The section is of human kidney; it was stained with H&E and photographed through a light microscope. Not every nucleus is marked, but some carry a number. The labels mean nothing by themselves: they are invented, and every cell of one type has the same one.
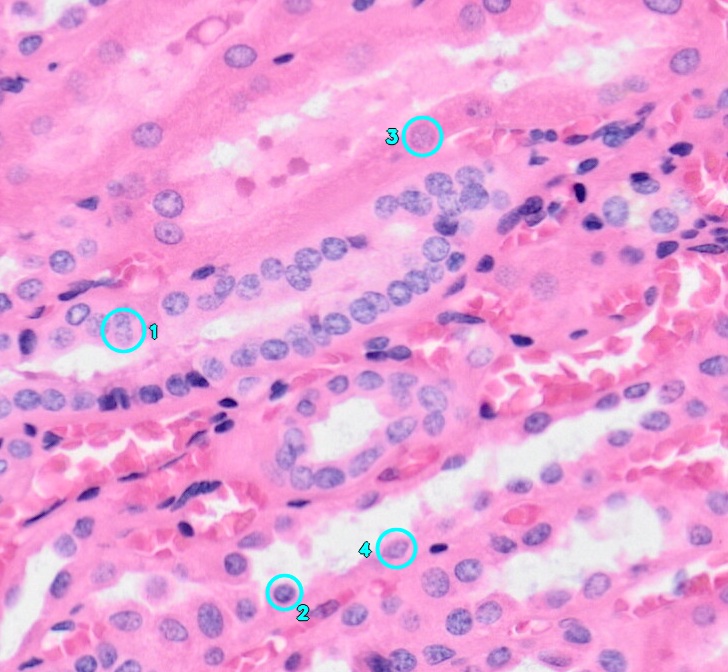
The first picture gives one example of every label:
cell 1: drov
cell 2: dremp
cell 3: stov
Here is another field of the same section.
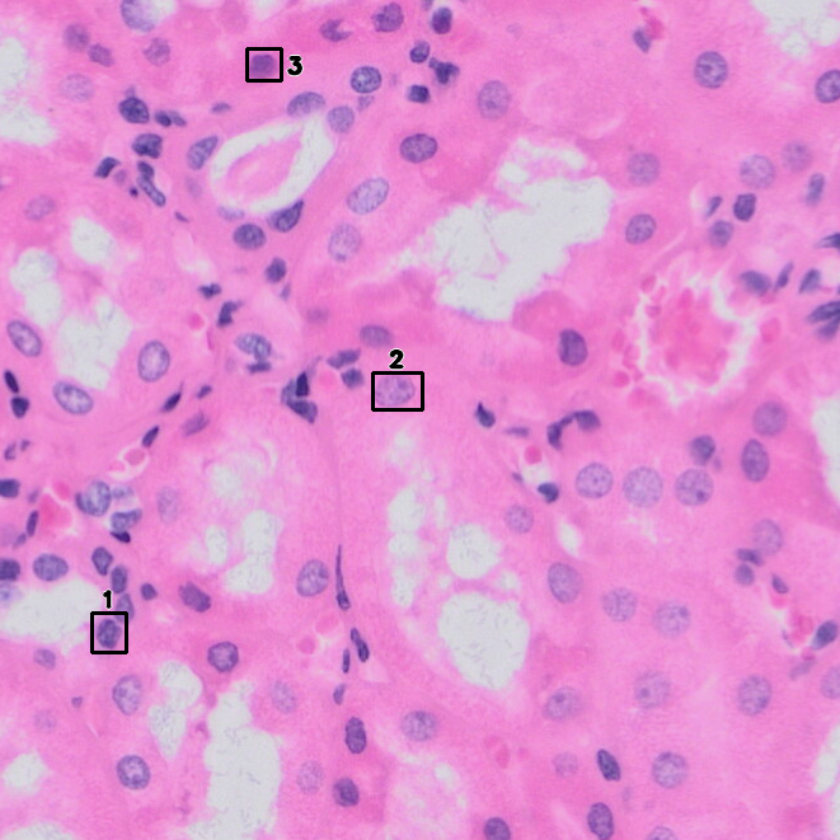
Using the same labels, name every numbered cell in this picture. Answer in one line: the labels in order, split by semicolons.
drov; stov; stov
